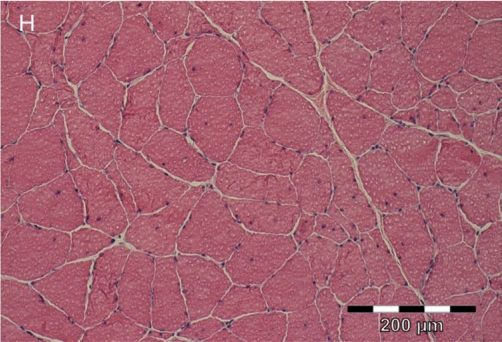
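Cross-section of skeletal muscle with pink fibers of uneven size. Small angular fibers lie among larger polygonal fibers, with peripheral purple nuclei along thin pale connective tissue septa.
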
